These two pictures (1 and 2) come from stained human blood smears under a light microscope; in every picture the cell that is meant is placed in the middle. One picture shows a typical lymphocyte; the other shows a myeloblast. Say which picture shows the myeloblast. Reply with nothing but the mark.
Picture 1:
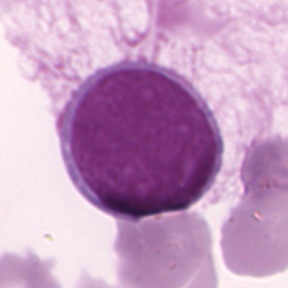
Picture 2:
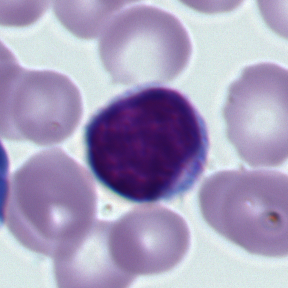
1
